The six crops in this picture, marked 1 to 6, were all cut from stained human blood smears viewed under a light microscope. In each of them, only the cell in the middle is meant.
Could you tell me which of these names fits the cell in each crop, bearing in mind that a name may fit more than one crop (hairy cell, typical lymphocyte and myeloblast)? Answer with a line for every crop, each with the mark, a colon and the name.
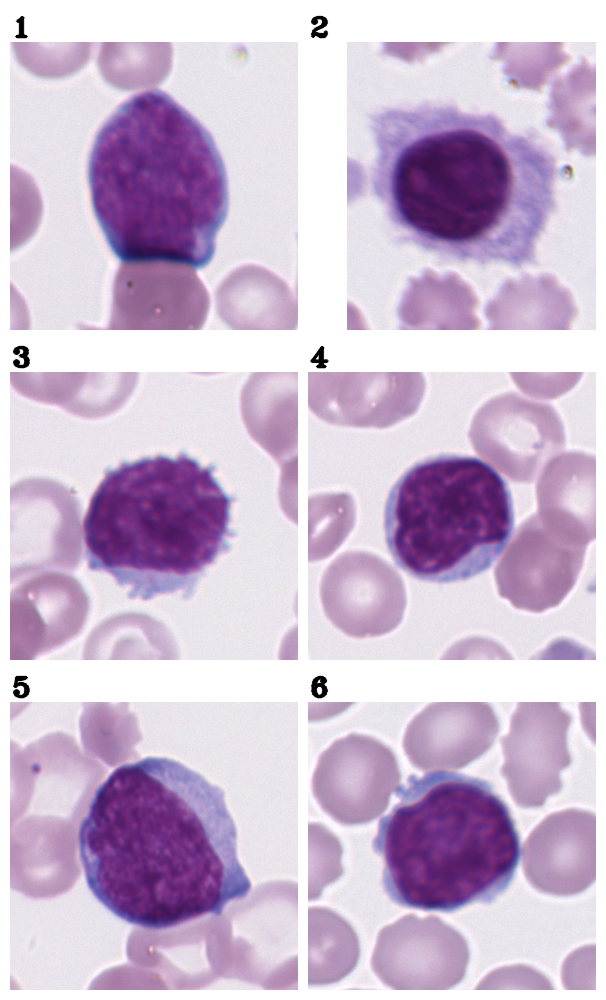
1: myeloblast
2: hairy cell
3: myeloblast
4: typical lymphocyte
5: myeloblast
6: typical lymphocyte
